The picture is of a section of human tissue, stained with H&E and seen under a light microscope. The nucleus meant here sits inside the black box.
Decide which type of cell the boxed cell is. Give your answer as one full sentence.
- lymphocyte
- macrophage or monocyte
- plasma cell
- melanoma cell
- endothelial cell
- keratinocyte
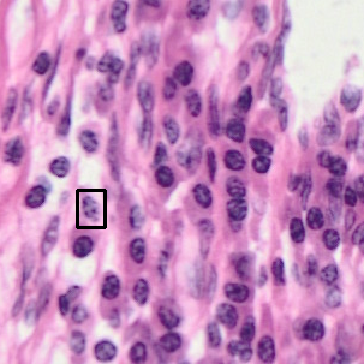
The cell meant here is a plasma cell.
